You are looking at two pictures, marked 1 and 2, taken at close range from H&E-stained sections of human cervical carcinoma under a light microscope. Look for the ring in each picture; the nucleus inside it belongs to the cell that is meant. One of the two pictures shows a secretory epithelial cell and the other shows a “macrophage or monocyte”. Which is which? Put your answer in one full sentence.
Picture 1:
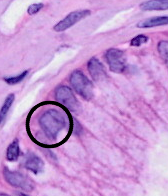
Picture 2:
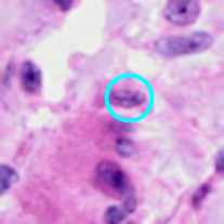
Picture 2 shows a “macrophage or monocyte”, while picture 1 shows a secretory epithelial cell.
